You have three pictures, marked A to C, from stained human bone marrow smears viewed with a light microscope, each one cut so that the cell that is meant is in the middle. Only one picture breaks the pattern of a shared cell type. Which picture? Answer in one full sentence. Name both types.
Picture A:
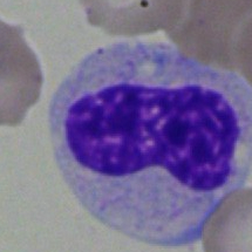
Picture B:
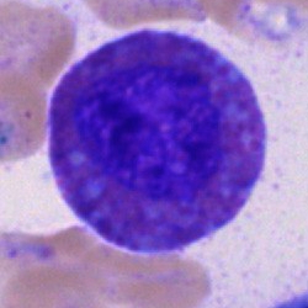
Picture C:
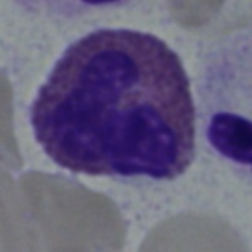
The others show eosinophils, but picture A shows a band neutrophil.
